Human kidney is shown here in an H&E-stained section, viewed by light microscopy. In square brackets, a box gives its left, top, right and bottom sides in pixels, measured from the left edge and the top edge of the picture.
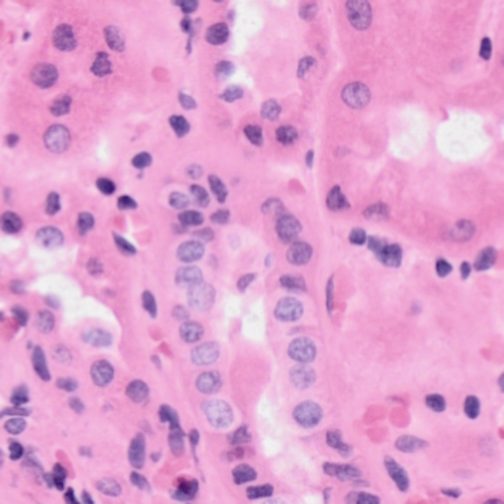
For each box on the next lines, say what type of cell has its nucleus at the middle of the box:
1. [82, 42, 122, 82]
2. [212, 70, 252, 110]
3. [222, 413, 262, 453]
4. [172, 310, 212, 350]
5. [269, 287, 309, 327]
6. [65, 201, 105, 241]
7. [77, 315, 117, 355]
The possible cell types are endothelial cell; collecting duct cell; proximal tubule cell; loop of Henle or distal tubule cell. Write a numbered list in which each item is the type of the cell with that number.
1. proximal tubule cell
2. loop of Henle or distal tubule cell
3. collecting duct cell
4. collecting duct cell
5. collecting duct cell
6. loop of Henle or distal tubule cell
7. loop of Henle or distal tubule cell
